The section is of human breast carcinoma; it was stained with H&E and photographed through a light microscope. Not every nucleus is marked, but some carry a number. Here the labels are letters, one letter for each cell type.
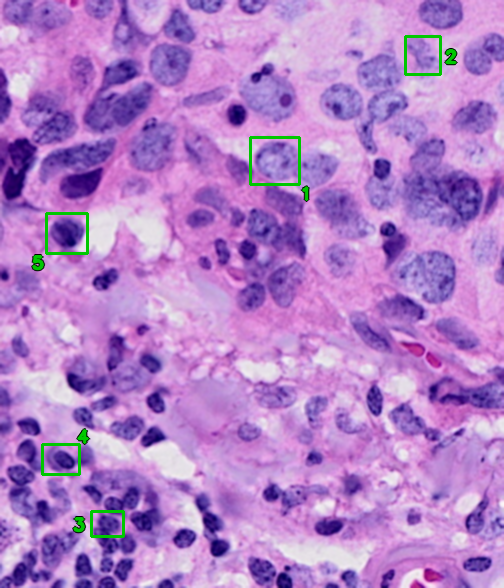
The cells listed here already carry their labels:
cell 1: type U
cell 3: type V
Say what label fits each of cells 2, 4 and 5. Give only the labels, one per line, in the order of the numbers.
type U
type V
type U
